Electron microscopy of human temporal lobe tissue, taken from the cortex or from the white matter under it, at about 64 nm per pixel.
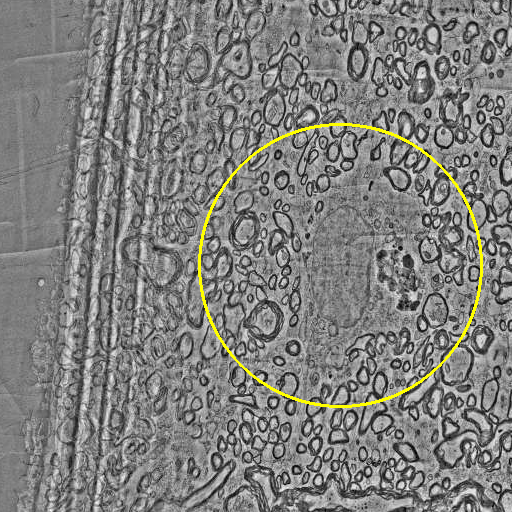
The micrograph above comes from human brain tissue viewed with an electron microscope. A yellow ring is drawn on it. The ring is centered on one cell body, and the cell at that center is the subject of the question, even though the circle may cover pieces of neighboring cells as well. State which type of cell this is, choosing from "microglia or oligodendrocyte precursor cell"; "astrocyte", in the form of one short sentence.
The cell the ring is centered on is an astrocyte.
